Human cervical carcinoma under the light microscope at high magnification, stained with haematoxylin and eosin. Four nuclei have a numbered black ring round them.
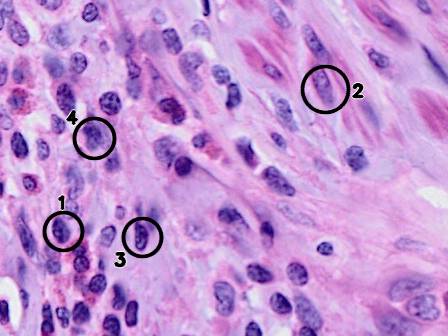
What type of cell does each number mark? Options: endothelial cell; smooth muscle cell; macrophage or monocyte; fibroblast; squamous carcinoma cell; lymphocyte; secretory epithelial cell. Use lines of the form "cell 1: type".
cell 1: lymphocyte
cell 2: smooth muscle cell
cell 3: lymphocyte
cell 4: lymphocyte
